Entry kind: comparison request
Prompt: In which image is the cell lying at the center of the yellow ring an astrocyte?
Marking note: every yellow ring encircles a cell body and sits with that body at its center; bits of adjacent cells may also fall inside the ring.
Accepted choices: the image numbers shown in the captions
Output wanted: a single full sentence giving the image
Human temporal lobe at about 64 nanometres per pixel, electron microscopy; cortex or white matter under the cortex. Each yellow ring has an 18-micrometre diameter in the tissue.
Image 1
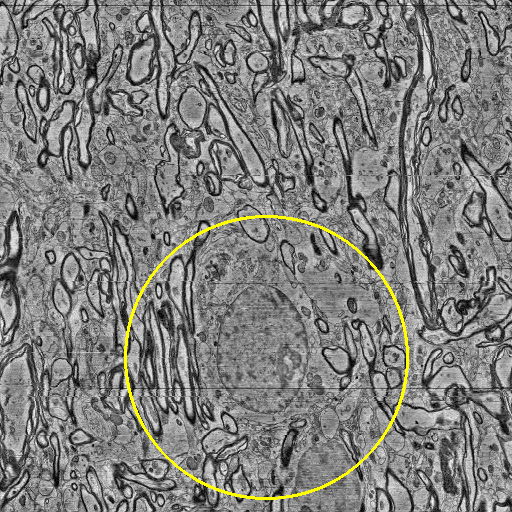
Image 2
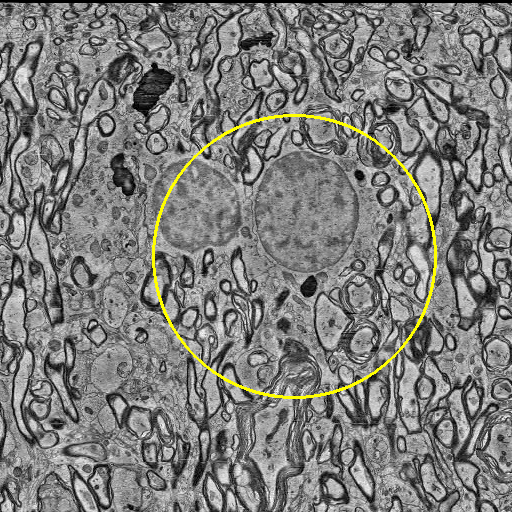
In image 1, the ringed cell at the center matches the prompt.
